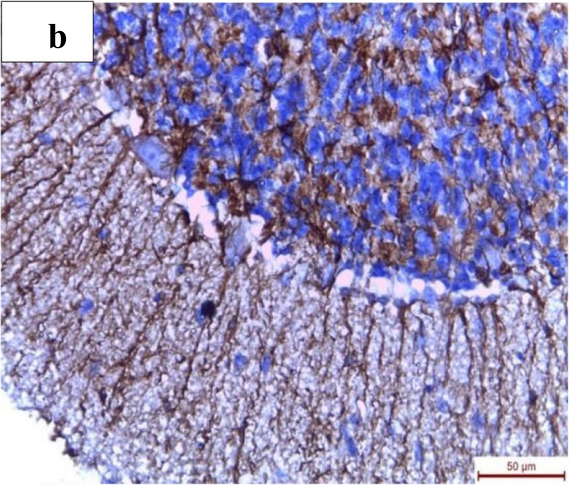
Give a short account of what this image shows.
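A section of the cerebellar cortex showing a band of densely packed small round blue nuclei of the granular layer beside a paler, fibrous layer with scattered nuclei. Brown staining surrounds many cells in the nuclear layer, and fine brown fibres run in parallel radial lines across the pale layer.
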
